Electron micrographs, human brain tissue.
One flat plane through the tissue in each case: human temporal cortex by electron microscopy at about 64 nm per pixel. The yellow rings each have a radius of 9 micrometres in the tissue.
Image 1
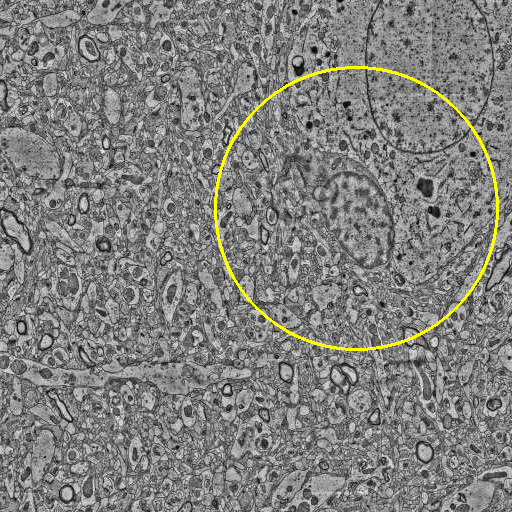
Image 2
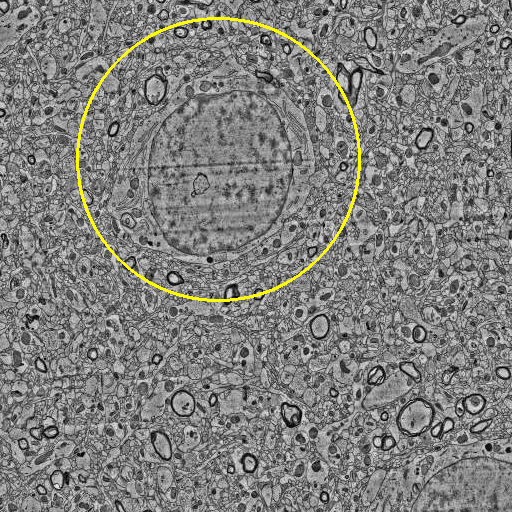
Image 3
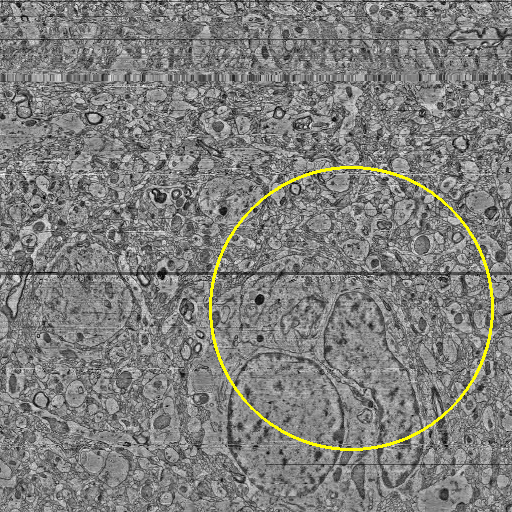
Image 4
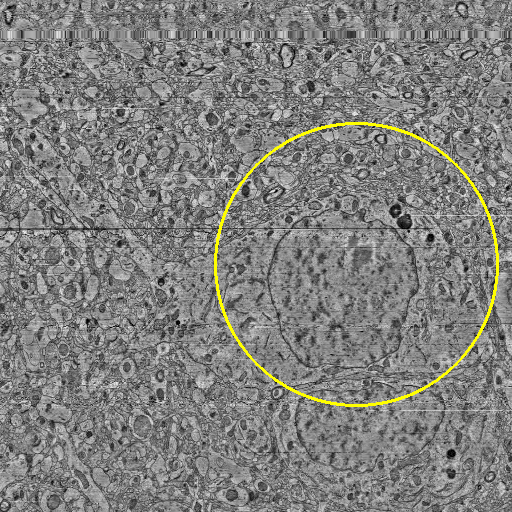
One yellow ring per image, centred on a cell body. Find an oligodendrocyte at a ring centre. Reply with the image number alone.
1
